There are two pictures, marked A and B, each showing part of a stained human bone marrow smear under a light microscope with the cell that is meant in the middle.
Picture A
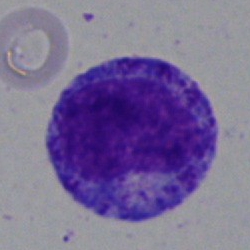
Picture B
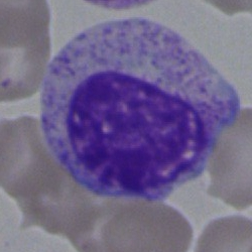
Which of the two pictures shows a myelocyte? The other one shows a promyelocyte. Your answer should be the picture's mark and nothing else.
B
